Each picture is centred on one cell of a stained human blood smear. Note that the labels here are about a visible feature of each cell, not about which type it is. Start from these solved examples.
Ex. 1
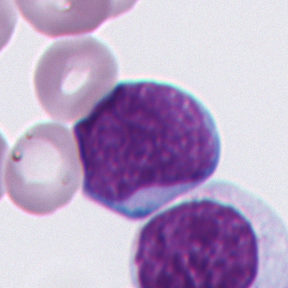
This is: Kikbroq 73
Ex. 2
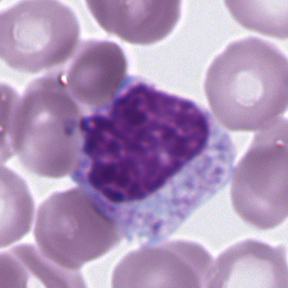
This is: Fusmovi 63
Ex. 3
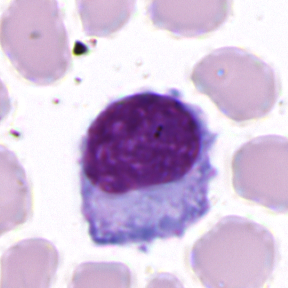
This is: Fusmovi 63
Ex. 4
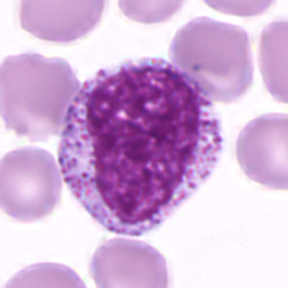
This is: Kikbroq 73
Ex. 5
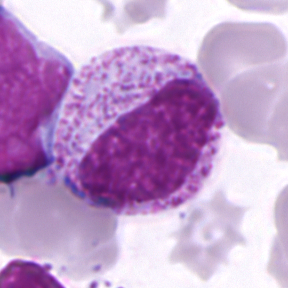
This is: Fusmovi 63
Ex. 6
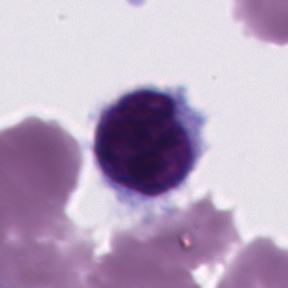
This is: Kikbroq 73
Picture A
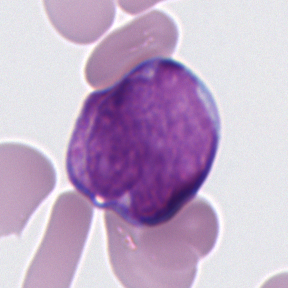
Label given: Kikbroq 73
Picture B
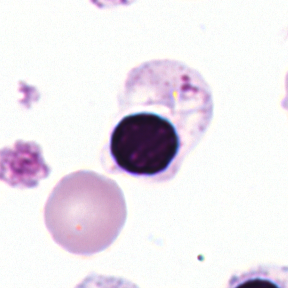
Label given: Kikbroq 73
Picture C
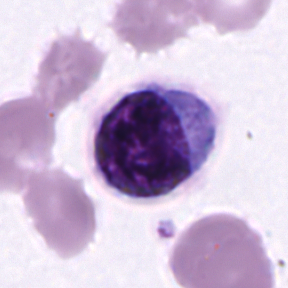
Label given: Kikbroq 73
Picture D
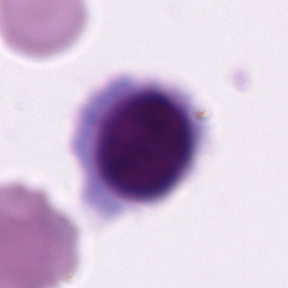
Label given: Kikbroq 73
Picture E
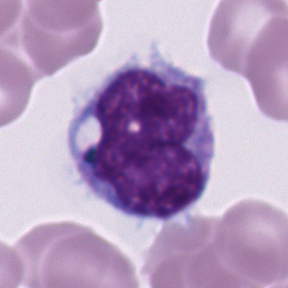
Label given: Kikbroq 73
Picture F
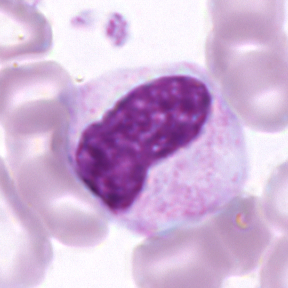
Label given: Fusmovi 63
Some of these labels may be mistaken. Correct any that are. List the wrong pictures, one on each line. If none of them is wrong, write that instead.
Wrong: B (Kikbroq 73); correct: Fusmovi 63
